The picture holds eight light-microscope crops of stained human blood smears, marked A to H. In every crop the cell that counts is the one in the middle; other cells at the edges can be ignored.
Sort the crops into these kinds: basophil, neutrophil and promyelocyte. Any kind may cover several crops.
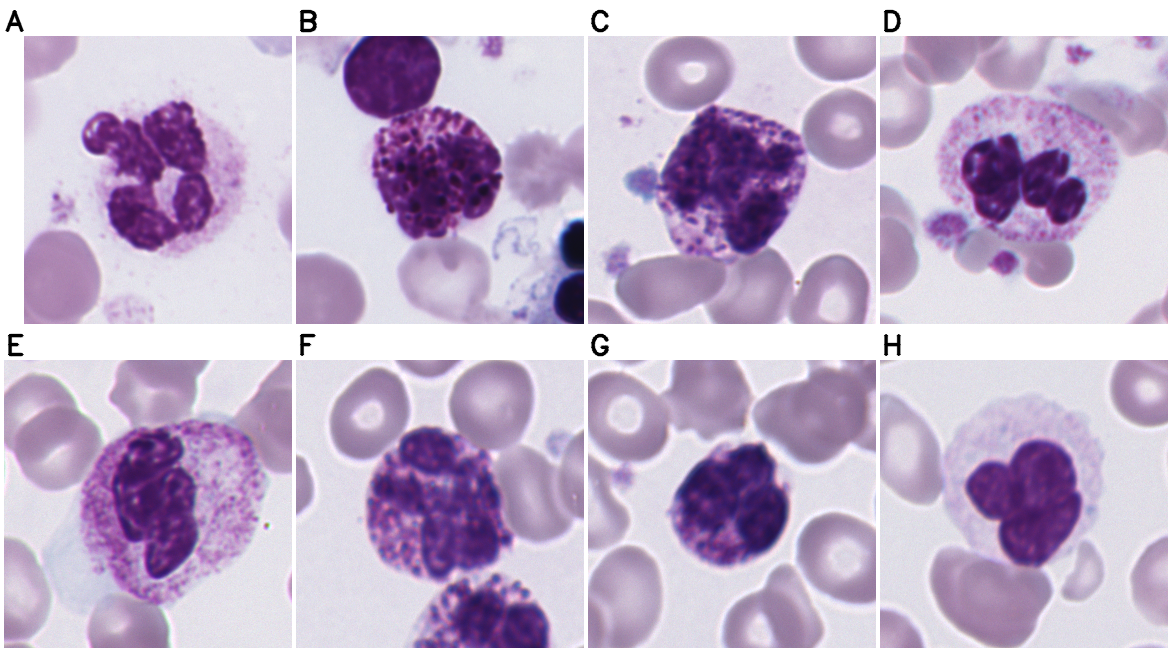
A: neutrophil
B: basophil
C: basophil
D: neutrophil
E: neutrophil
F: basophil
G: basophil
H: neutrophil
